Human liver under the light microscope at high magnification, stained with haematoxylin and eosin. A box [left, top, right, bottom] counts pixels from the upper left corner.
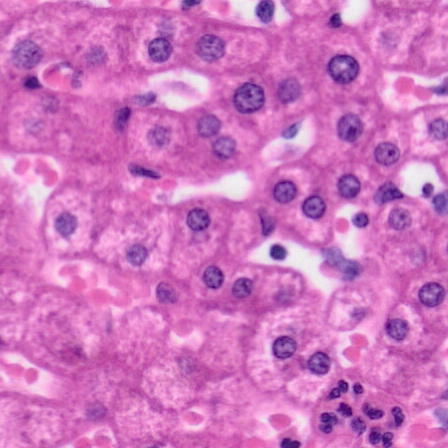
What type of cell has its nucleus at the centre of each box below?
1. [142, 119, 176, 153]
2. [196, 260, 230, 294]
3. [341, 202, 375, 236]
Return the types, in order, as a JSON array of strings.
["hepatocyte", "hepatocyte", "lymphocyte"]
